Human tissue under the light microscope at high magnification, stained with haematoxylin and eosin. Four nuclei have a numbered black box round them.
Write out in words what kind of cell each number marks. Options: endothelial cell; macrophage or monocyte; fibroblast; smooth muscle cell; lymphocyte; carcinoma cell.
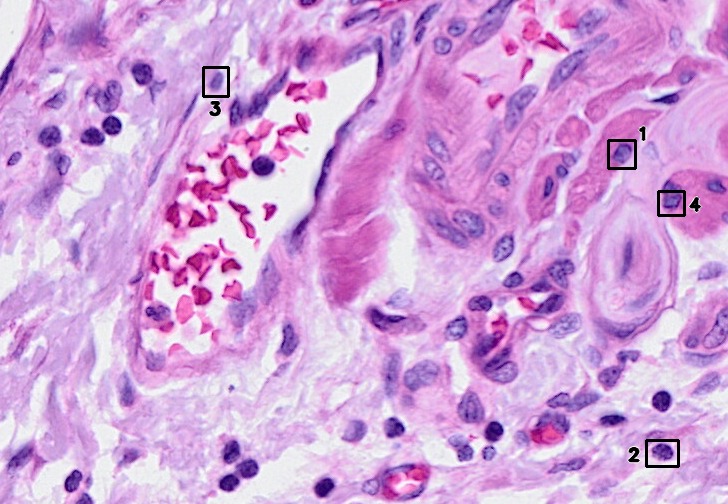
Cells 1 and 4 are smooth muscle cells. Cells 2 and 3 are lymphocytes.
